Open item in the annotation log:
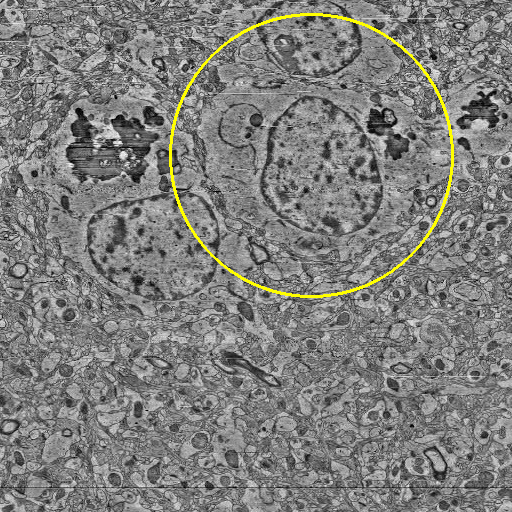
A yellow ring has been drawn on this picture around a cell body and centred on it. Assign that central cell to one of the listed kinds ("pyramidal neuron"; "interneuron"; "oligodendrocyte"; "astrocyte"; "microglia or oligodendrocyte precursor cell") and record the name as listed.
astrocyte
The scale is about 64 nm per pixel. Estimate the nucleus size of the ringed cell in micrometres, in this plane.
In this plane the nucleus measures roughly 9 by 7 micrometers.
